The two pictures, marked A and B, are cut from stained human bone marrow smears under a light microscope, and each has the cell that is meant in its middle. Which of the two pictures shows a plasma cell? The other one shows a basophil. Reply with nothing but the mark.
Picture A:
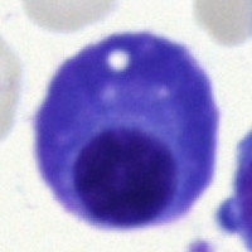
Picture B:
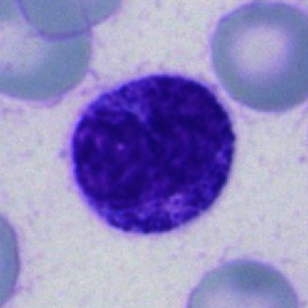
A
